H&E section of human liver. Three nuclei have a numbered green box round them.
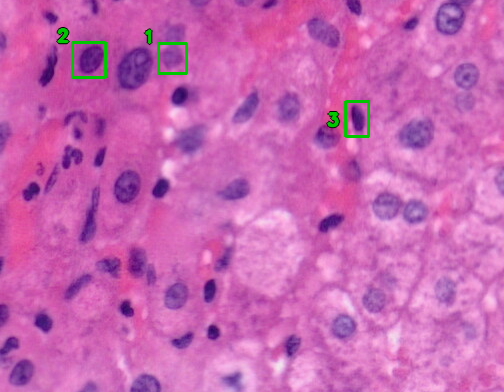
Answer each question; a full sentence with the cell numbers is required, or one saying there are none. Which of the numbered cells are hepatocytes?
The numbers 1 and 2 in this section indicate hepatocytes.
